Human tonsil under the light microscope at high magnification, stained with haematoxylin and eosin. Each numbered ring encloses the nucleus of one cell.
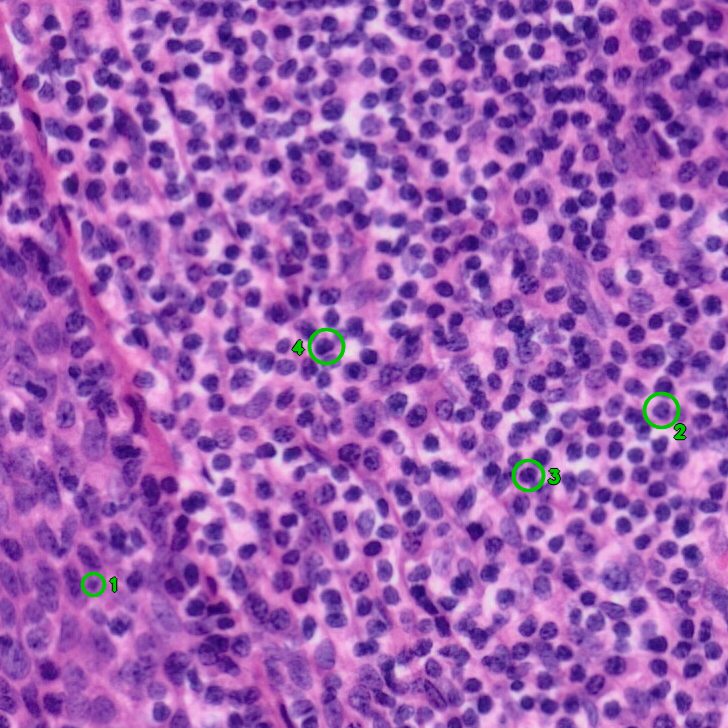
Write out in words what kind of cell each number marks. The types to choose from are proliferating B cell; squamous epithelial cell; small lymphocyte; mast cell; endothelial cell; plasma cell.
Cell 1 is a squamous epithelial cell, cell 2 is a small lymphocyte, cell 3 is a small lymphocyte and cell 4 is a small lymphocyte.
